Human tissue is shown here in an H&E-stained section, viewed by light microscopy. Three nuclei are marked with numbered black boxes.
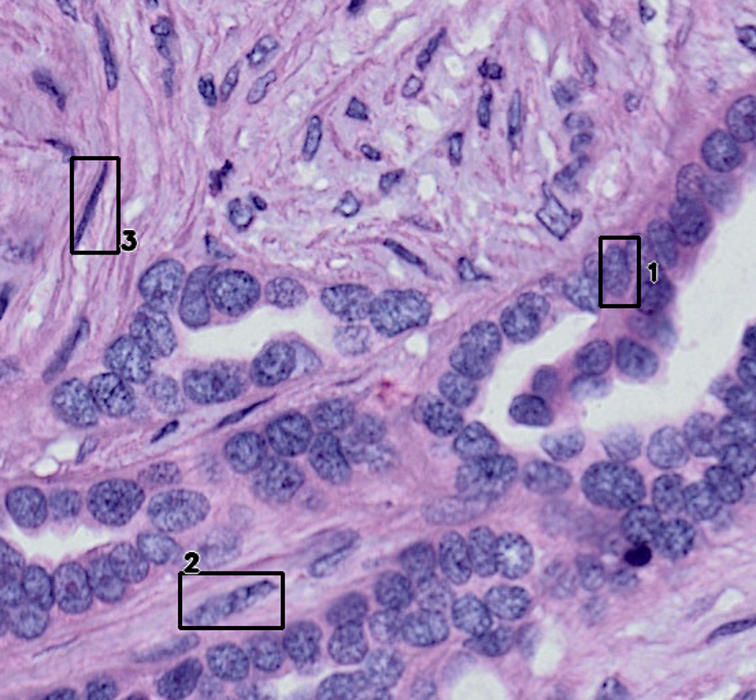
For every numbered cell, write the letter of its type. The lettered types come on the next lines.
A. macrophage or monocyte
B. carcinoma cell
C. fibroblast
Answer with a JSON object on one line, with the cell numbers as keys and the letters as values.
{"1": "B", "2": "C", "3": "C"}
